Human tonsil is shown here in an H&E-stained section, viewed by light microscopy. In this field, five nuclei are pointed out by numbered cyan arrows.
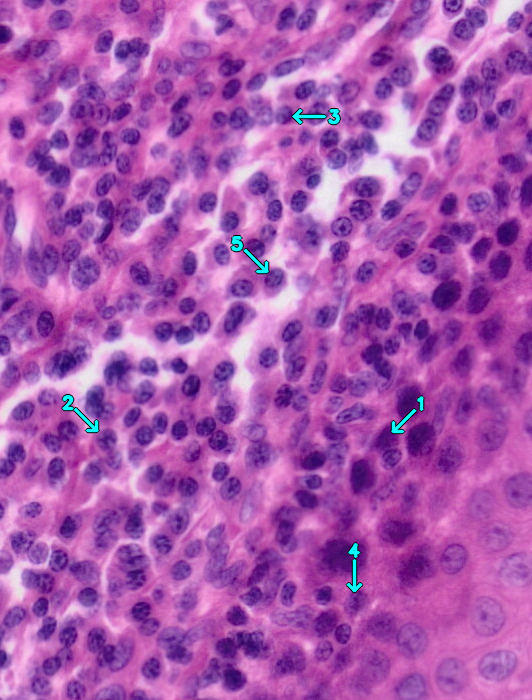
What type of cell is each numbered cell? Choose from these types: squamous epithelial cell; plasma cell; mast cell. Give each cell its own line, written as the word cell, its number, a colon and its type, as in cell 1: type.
cell 1: squamous epithelial cell
cell 2: plasma cell
cell 3: plasma cell
cell 4: squamous epithelial cell
cell 5: plasma cell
